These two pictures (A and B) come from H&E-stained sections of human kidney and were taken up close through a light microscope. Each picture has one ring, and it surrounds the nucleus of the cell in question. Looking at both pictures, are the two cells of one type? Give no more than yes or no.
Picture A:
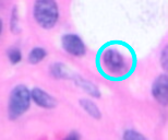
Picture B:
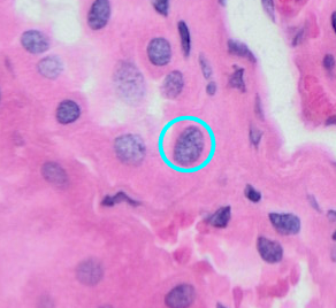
no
